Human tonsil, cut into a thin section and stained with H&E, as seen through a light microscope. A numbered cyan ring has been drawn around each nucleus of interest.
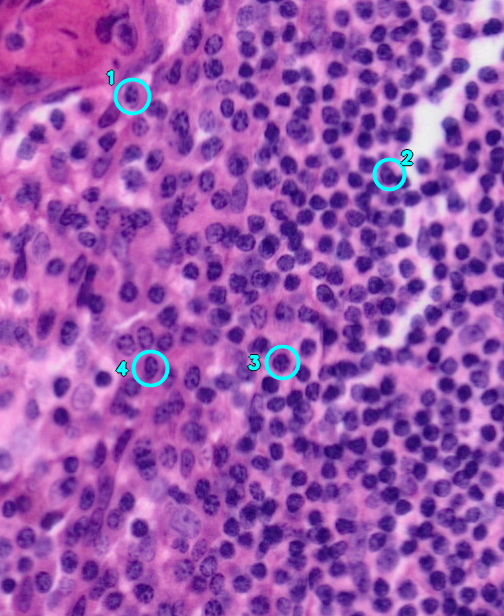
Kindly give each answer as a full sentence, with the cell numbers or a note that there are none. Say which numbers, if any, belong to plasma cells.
The cells numbered 1, 3 and 4 fall into the category of plasma cells.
